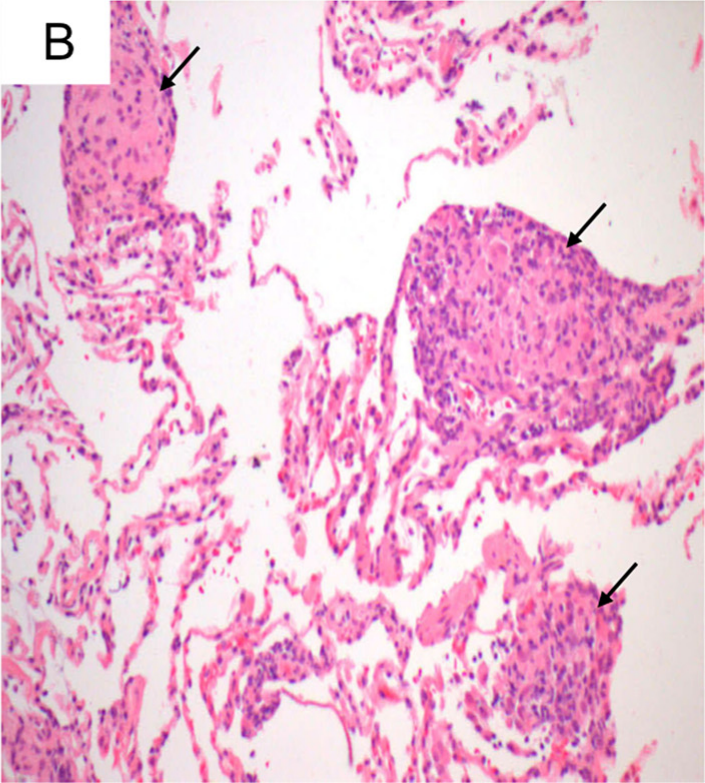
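Lung tissue with thin alveolar walls surrounds several well-formed, non-necrotising epithelioid granulomas. Each granuloma is a compact nodule of epithelioid cells with ample pale pink cytoplasm and oval to elongated pale nuclei, with small dark lymphocytes gathered at the edges. The centres are cellular, with no necrosis.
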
